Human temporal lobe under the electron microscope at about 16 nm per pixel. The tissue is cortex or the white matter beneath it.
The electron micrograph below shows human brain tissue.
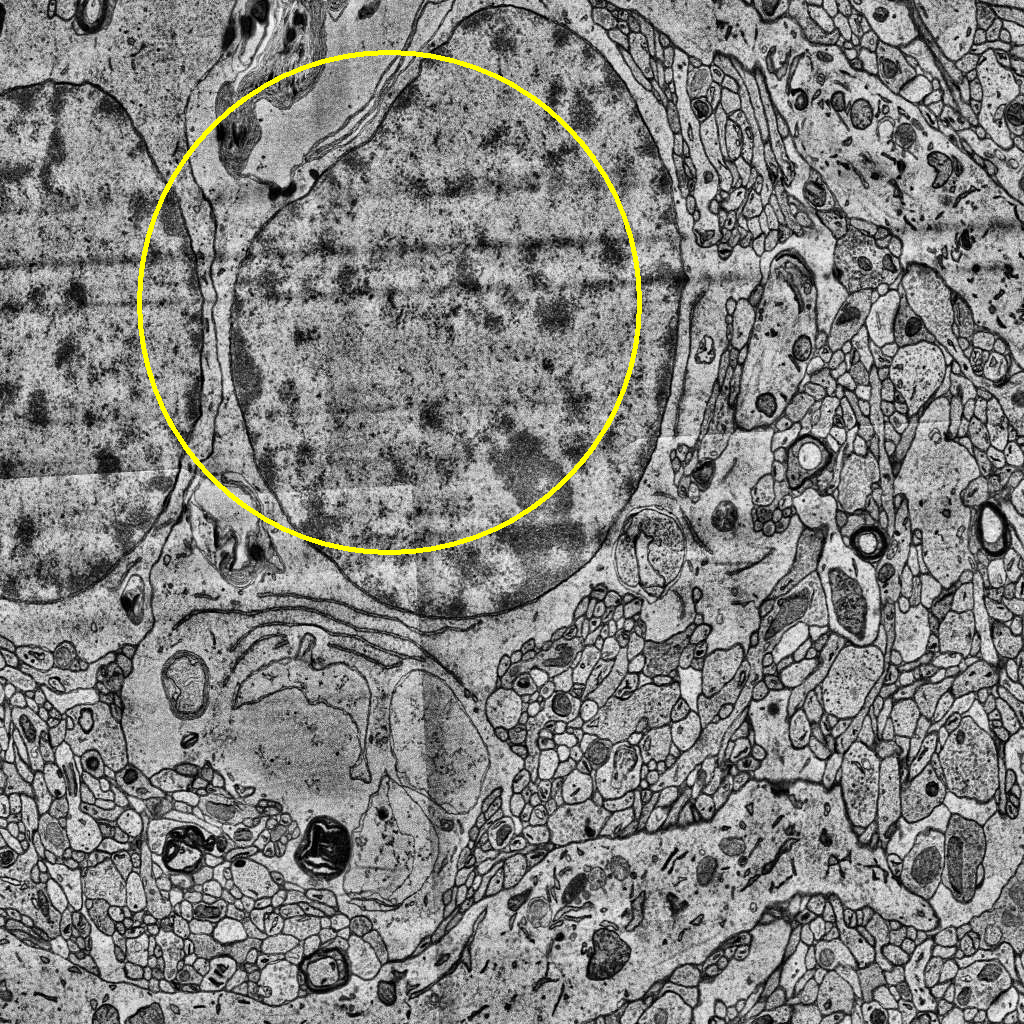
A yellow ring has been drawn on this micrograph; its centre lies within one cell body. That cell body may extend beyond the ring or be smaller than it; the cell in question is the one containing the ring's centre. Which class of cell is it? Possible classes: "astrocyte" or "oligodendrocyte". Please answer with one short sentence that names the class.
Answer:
In the centre of the ring sits an astrocyte.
